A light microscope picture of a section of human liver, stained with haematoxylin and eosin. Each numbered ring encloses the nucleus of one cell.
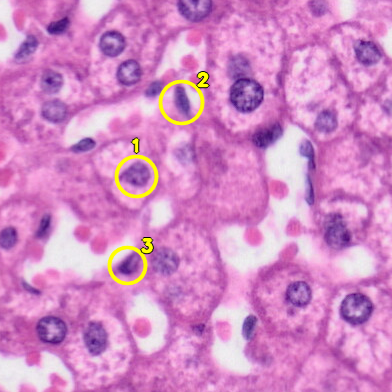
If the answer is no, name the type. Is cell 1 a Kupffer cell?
No, it is a hepatocyte.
